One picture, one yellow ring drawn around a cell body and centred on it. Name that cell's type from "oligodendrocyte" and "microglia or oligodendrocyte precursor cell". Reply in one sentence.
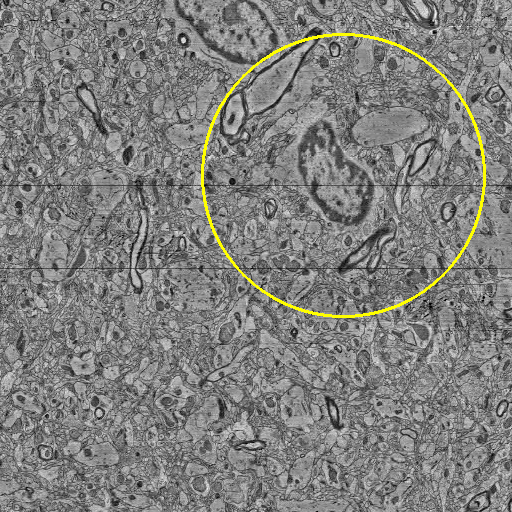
Centred in the ring is a microglial cell or oligodendrocyte precursor cell.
